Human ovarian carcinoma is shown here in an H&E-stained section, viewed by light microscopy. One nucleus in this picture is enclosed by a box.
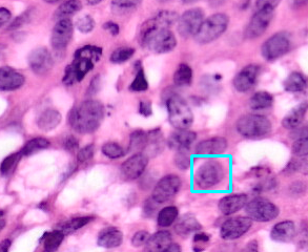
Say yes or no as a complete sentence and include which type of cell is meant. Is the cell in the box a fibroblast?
No, it is a carcinoma cell rather than a fibroblast that the cell in the box is.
